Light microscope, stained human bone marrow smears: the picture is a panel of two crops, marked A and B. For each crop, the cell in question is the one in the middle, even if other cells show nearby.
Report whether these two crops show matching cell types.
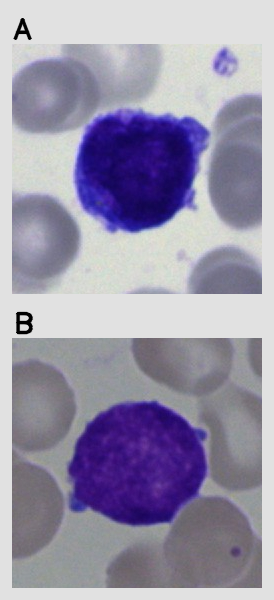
yes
